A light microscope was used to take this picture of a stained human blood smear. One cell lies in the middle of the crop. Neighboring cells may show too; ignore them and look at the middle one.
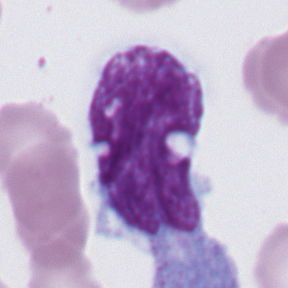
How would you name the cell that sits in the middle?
monocyte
